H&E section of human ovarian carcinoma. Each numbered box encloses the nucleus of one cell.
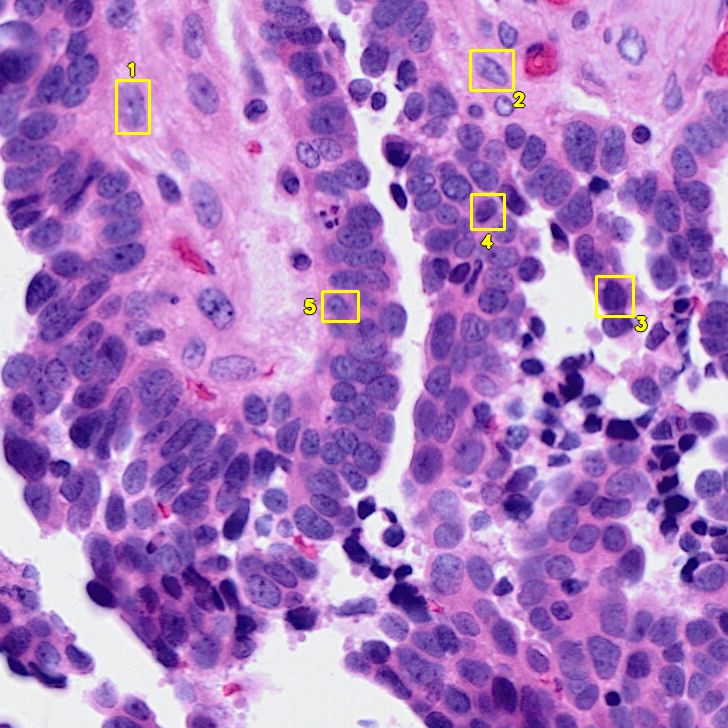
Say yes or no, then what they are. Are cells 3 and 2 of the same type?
No, listen: cell 3 is a carcinoma cell and cell 2 is a fibroblast.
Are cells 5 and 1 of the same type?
No, cell 5 is a carcinoma cell, and cell 1, for its part, is a fibroblast.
